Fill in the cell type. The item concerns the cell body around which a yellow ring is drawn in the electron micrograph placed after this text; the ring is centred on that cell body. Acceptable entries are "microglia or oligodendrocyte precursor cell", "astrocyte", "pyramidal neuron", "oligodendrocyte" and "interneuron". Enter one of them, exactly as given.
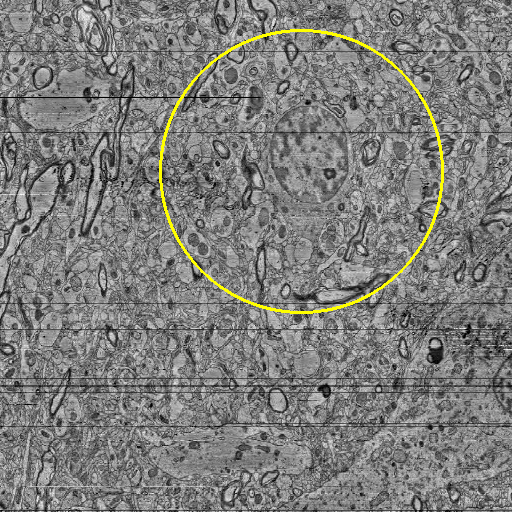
oligodendrocyte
